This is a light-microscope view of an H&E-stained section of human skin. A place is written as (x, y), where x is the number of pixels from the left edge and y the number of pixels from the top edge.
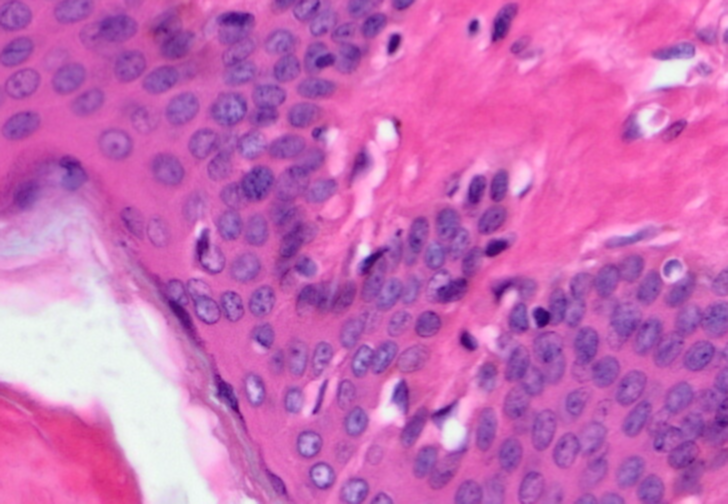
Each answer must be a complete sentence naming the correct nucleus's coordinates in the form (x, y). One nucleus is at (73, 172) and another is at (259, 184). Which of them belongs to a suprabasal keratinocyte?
Only the nucleus at (73, 172), of the two, belongs to a suprabasal keratinocyte.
